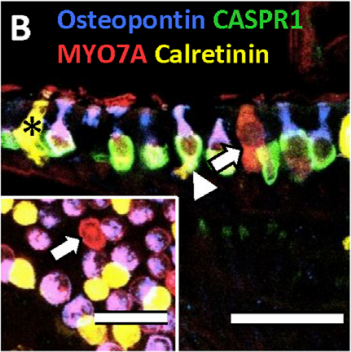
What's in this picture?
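This is a side view of a vestibular sensory epithelium with a single row of hair cells along the top. Several flask-shaped cells have their lower, basolateral parts wrapped in green cup-like rims, with blue label capping the region above the nucleus. At the left a yellow cell stands out, and one cell shows red without a green rim around it. The inset shows the epithelium face-on, with round cell profiles in magenta and yellow and one cell outlined in red.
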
